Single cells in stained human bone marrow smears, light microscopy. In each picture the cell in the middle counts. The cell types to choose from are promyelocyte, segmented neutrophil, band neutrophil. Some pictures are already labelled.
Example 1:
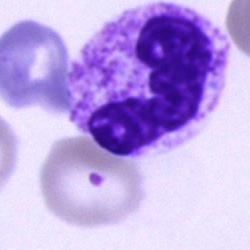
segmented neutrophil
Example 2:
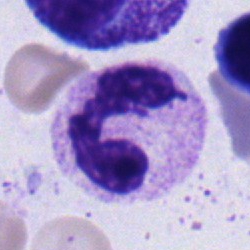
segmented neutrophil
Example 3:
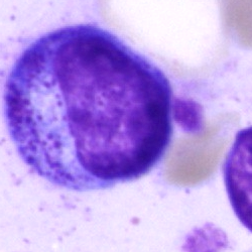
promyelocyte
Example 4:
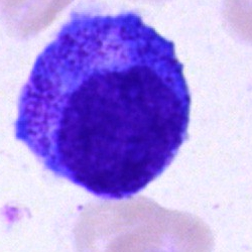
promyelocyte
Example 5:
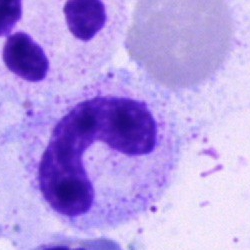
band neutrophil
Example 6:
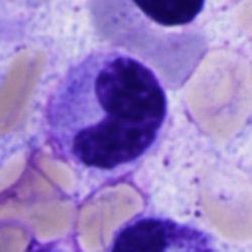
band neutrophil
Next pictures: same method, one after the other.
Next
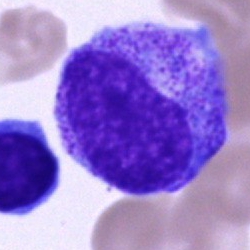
promyelocyte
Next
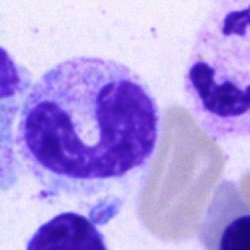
band neutrophil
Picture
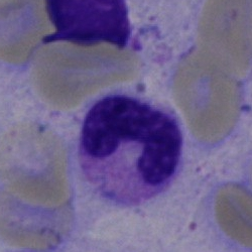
band neutrophil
